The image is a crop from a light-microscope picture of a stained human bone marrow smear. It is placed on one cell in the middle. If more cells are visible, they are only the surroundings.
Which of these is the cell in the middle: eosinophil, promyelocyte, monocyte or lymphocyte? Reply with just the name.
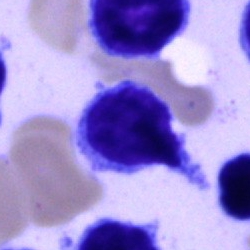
lymphocyte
